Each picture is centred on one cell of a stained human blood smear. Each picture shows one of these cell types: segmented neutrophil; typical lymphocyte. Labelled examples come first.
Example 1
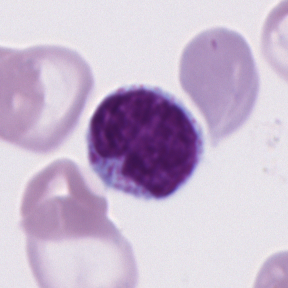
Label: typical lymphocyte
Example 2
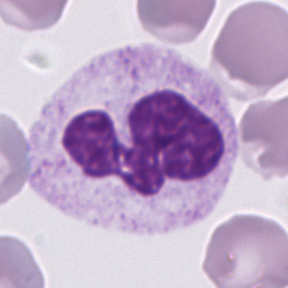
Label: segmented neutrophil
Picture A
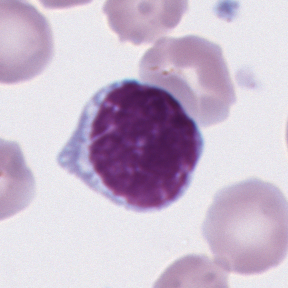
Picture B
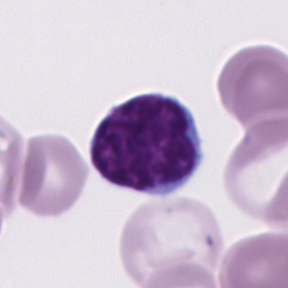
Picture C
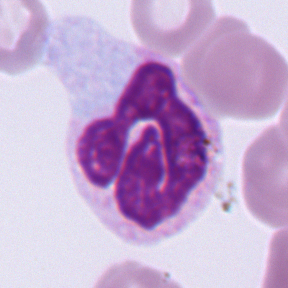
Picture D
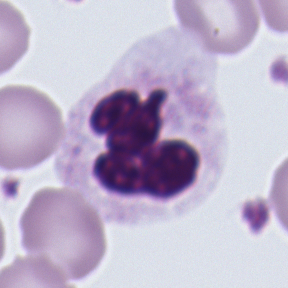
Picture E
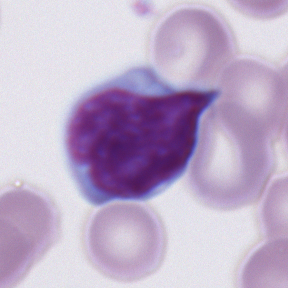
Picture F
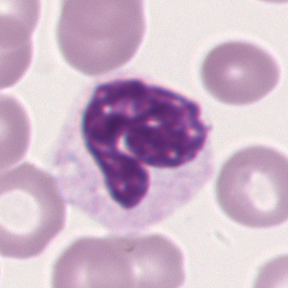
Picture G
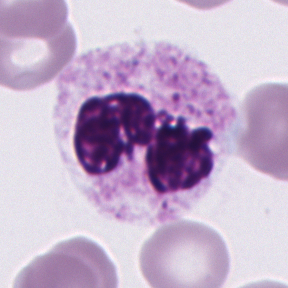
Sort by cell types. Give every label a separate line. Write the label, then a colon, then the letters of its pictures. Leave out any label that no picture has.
segmented neutrophil: C, D, F, G
typical lymphocyte: A, B, E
